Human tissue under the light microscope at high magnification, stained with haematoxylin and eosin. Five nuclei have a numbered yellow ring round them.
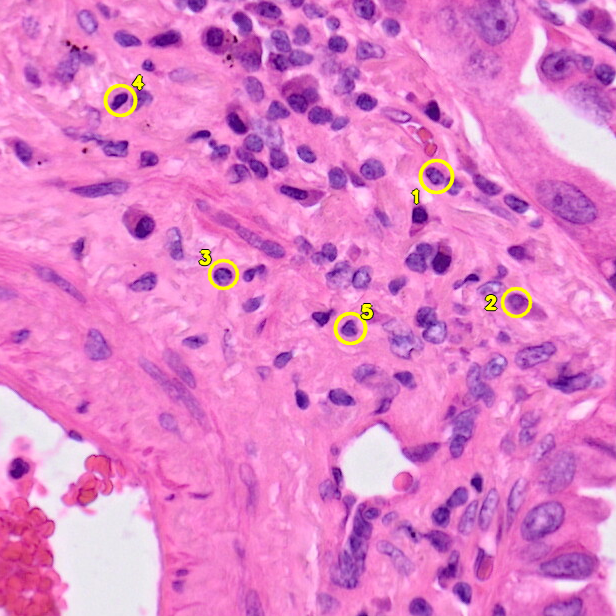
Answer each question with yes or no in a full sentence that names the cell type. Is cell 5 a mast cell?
No, cell 5, which is a lymphocyte, is not a mast cell.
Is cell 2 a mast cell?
No, the cell denoted 2 is a plasma cell rather than a mast cell.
